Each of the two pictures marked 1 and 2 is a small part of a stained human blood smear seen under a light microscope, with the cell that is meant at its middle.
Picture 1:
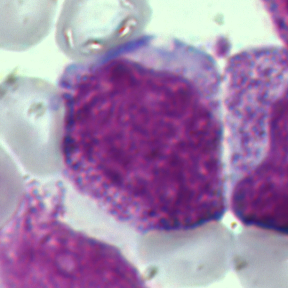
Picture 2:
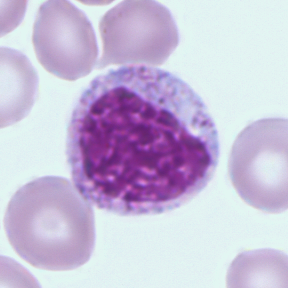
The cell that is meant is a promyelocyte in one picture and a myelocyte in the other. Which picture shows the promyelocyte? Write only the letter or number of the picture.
1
